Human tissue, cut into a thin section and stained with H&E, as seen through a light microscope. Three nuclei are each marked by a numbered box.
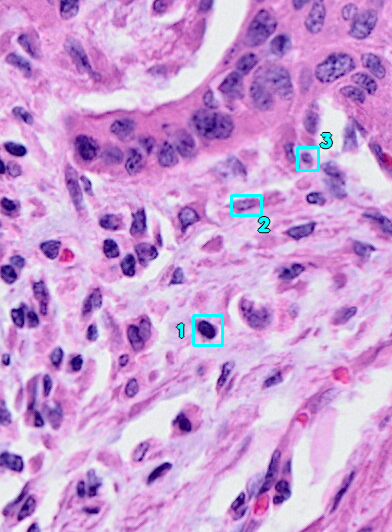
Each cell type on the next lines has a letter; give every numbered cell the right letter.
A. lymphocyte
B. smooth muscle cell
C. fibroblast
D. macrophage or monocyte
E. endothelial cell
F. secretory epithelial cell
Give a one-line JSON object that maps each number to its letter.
{"1": "A", "2": "C", "3": "C"}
